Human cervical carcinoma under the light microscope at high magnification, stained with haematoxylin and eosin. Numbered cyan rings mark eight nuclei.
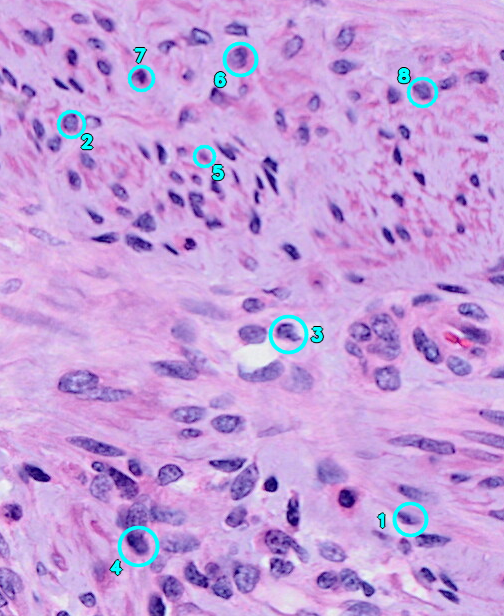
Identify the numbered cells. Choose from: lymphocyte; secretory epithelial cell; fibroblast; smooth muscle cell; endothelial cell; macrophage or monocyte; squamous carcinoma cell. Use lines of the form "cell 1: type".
cell 1: fibroblast
cell 2: smooth muscle cell
cell 3: lymphocyte
cell 4: lymphocyte
cell 5: smooth muscle cell
cell 6: smooth muscle cell
cell 7: smooth muscle cell
cell 8: smooth muscle cell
